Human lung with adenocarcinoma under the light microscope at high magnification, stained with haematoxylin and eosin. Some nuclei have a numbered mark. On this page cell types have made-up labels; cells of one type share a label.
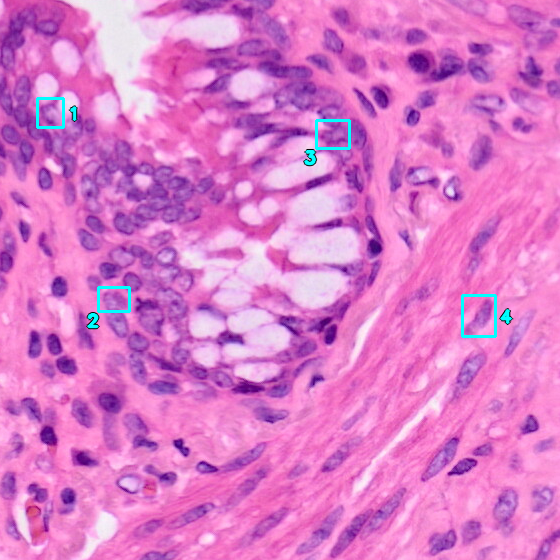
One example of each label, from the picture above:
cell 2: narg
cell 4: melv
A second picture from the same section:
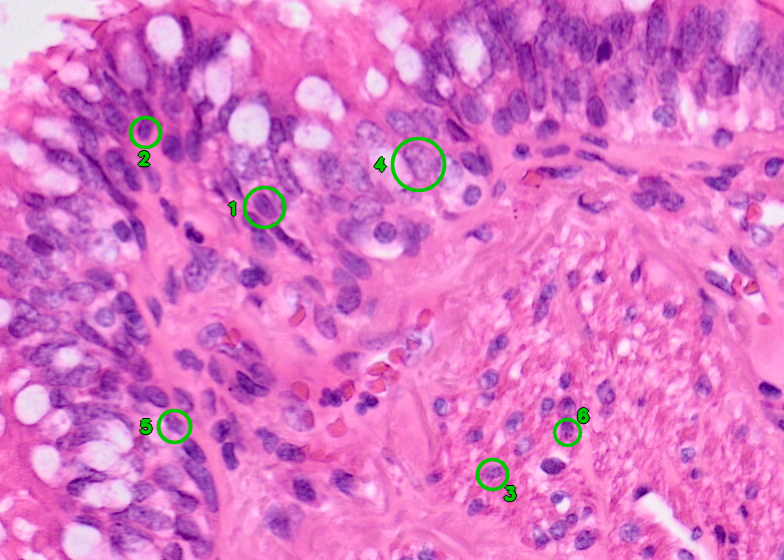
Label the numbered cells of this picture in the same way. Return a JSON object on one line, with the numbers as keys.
{"1": "narg", "2": "narg", "3": "melv", "4": "narg", "5": "narg", "6": "melv"}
